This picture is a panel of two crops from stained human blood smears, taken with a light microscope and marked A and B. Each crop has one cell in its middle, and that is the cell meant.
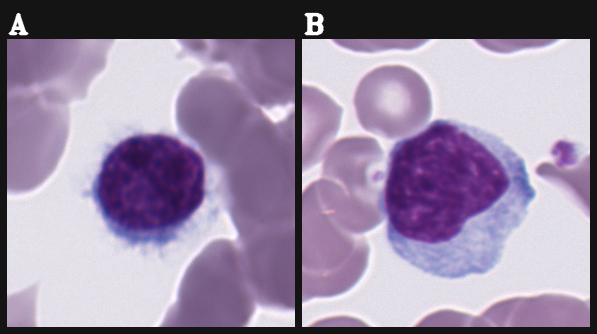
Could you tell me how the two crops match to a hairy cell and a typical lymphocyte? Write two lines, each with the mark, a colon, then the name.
A: hairy cell
B: typical lymphocyte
